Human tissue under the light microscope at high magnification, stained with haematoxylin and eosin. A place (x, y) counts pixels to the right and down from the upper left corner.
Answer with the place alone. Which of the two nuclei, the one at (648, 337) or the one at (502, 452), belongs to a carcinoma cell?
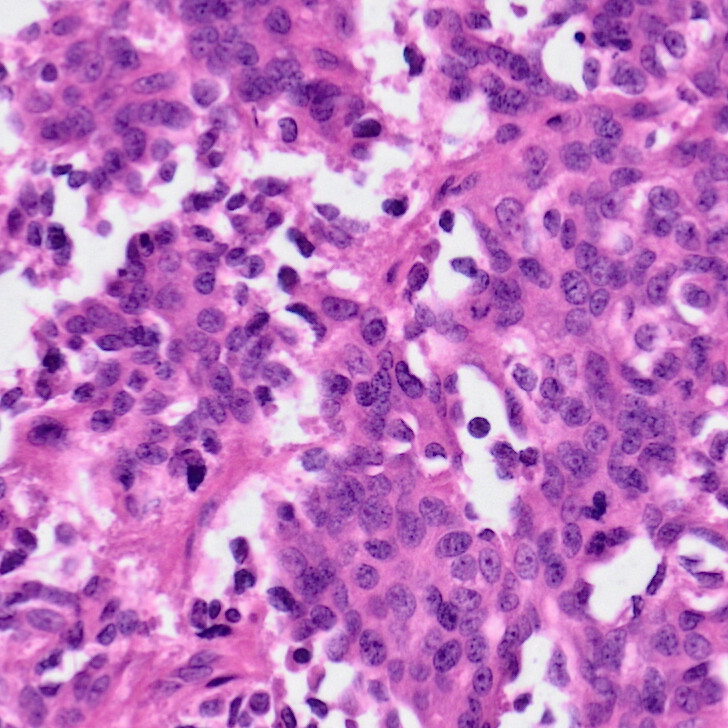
(502, 452)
